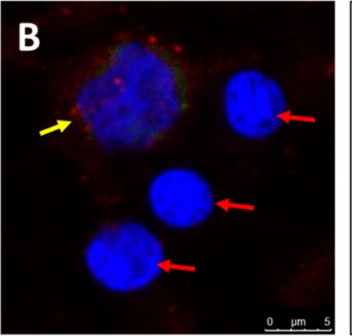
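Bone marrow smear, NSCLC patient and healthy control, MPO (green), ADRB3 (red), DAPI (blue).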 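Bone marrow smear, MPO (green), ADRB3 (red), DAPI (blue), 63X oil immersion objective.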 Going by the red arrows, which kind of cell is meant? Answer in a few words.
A: Lymphocytes.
